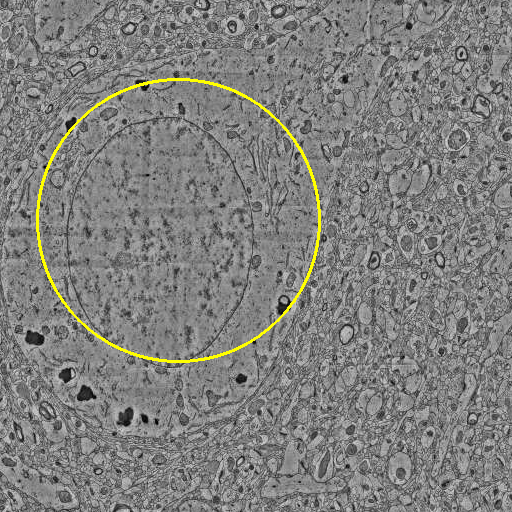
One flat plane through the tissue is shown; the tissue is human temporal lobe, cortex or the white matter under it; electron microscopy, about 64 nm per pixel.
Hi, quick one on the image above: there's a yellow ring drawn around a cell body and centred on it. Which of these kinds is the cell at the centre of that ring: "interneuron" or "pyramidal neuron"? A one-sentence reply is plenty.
The cell at the centre of the ring is a pyramidal neuron.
